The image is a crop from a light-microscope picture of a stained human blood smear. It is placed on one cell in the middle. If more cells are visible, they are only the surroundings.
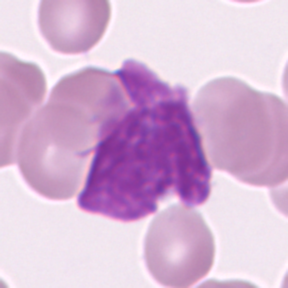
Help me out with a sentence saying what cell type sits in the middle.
This crop's central cell is a smudge cell.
